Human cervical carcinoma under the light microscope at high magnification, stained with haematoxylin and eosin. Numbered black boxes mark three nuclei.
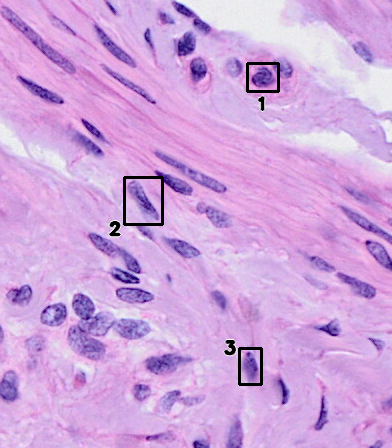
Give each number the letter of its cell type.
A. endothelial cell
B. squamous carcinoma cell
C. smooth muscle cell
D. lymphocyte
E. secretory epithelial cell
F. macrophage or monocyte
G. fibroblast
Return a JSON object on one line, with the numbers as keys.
{"1": "A", "2": "G", "3": "G"}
